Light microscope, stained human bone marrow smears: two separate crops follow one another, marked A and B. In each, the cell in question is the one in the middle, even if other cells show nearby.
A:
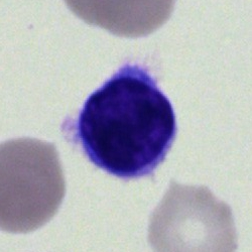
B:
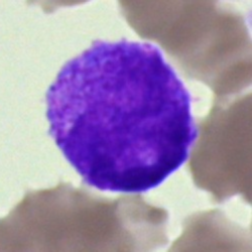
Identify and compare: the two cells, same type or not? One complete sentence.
No, crop A is the one with a lymphocyte; crop B has a blast.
